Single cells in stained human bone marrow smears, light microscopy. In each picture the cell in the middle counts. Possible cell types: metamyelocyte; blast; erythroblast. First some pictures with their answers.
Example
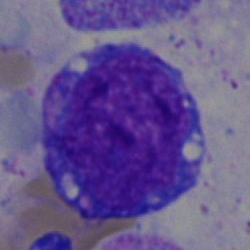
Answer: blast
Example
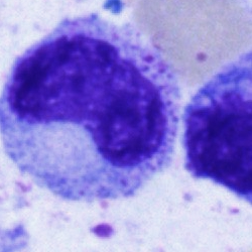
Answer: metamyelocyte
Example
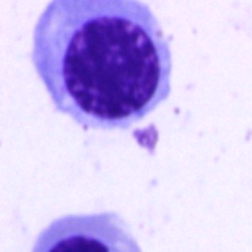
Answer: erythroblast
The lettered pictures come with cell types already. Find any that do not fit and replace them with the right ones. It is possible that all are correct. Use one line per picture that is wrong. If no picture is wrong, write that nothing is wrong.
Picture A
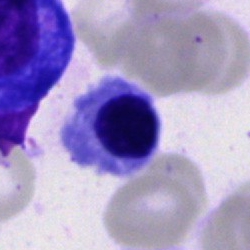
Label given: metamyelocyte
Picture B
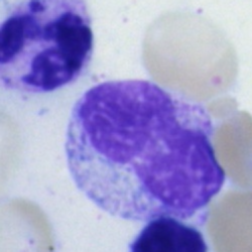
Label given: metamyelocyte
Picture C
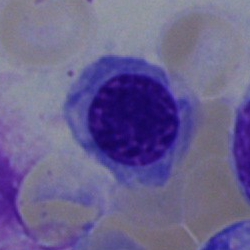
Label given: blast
A: erythroblast, not metamyelocyte
C: erythroblast, not blast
